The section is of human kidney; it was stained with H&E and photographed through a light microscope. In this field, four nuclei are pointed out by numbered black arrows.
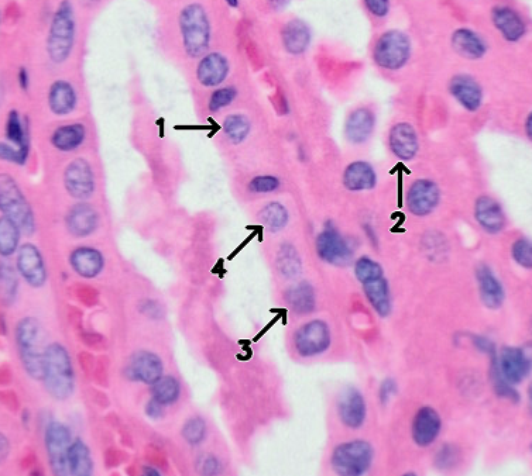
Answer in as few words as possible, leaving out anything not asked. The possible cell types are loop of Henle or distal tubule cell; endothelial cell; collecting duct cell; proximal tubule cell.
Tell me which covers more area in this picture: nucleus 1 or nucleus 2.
2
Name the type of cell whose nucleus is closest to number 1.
collecting duct cell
